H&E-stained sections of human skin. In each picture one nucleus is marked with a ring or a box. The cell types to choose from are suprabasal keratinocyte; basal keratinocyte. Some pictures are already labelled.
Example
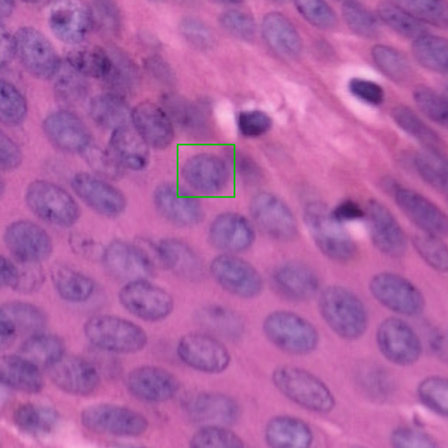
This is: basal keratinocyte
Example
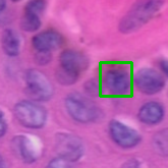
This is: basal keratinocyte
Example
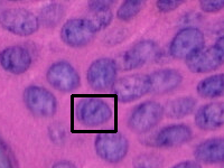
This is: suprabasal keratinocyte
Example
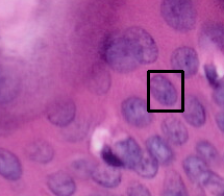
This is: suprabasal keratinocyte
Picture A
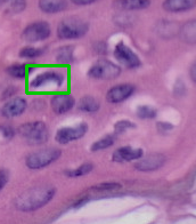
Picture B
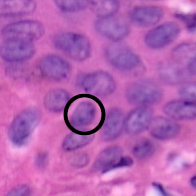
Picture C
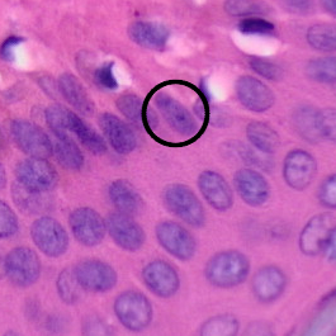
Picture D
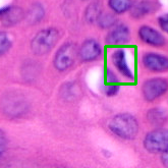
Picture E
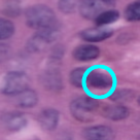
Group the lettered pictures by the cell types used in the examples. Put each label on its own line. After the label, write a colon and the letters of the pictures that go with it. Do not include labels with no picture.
basal keratinocyte: A, B, C, D, E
